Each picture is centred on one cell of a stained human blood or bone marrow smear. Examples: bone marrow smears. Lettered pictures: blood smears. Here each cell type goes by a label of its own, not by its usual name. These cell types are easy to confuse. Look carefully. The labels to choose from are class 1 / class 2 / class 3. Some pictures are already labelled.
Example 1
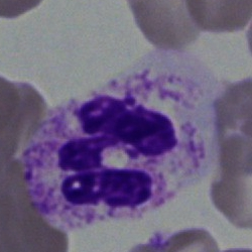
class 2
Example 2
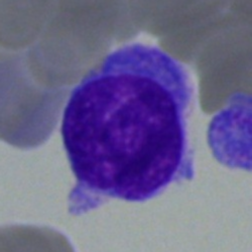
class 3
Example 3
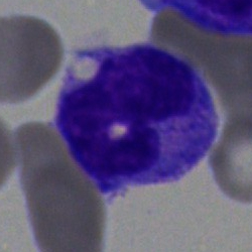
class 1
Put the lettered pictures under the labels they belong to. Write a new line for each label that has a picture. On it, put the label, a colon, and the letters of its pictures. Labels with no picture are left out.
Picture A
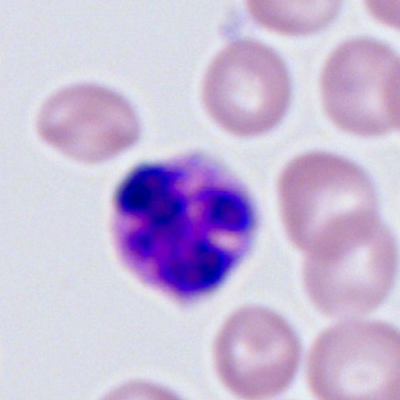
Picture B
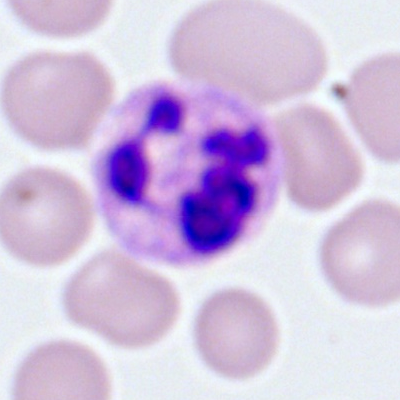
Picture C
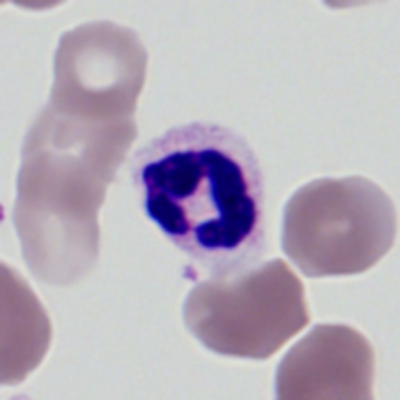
class 2: A, B, C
